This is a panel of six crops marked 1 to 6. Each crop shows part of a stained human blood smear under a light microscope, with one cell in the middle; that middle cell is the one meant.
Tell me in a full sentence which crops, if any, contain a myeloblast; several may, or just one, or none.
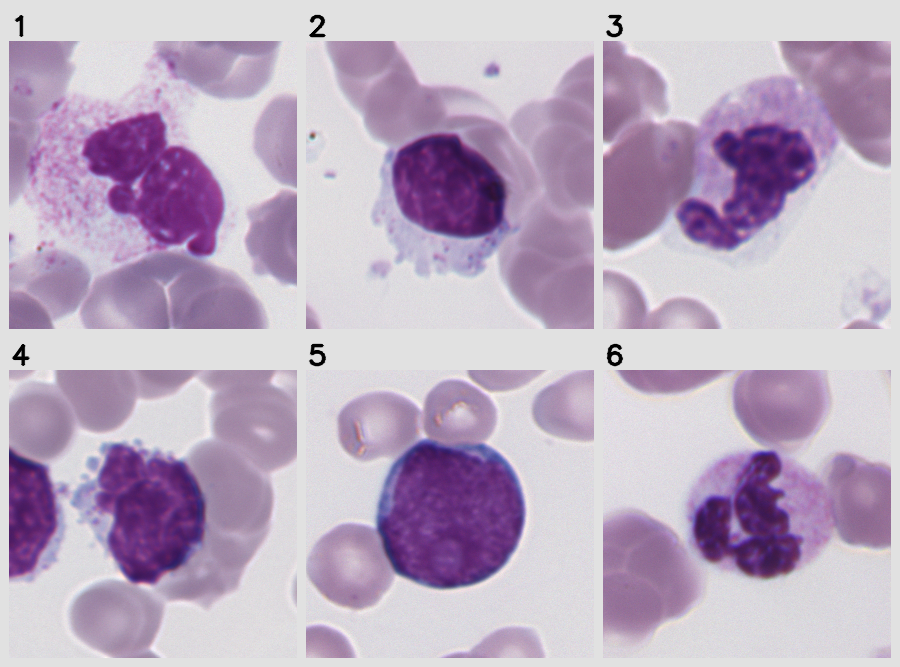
Crop 5 is the one crop in the series that shows a myeloblast.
